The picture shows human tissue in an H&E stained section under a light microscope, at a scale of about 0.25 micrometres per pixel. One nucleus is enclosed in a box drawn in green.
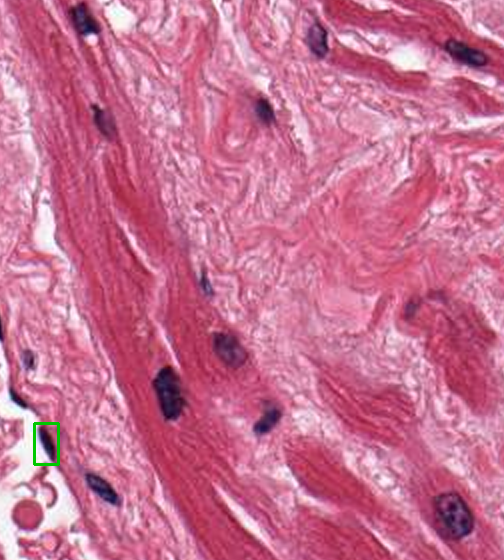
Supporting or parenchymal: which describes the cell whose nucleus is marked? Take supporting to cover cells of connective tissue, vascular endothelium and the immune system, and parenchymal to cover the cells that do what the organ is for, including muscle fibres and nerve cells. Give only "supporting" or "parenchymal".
supporting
